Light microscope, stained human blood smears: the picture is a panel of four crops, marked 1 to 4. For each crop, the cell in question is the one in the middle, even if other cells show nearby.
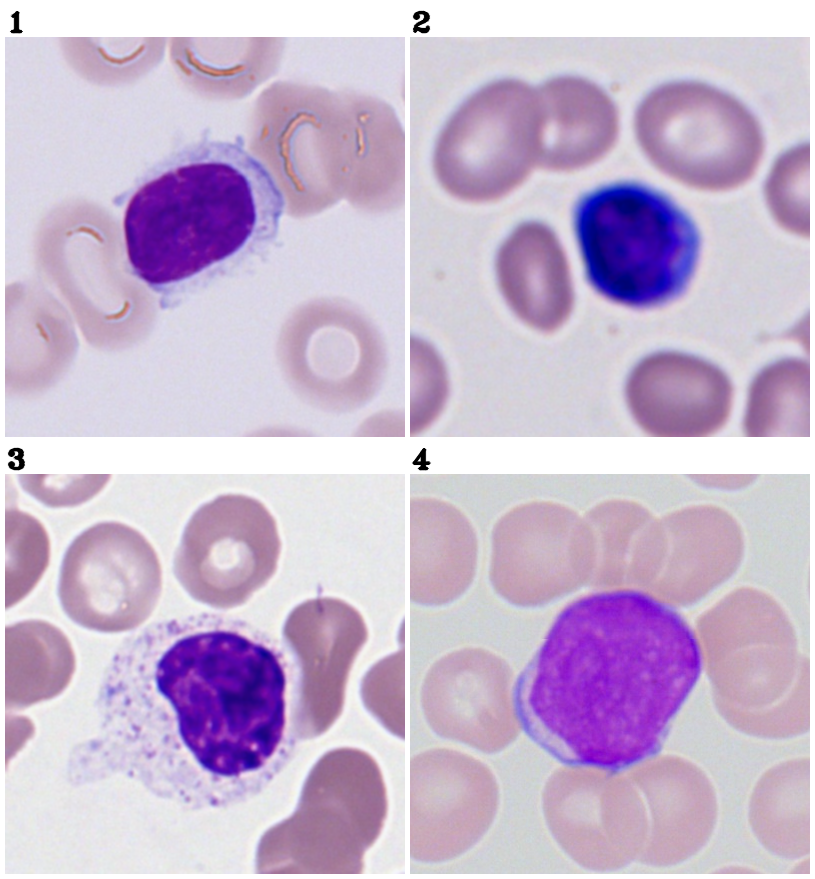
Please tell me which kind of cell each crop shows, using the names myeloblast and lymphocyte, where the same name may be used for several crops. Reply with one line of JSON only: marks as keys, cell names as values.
{"1": "lymphocyte", "2": "lymphocyte", "3": "lymphocyte", "4": "myeloblast"}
